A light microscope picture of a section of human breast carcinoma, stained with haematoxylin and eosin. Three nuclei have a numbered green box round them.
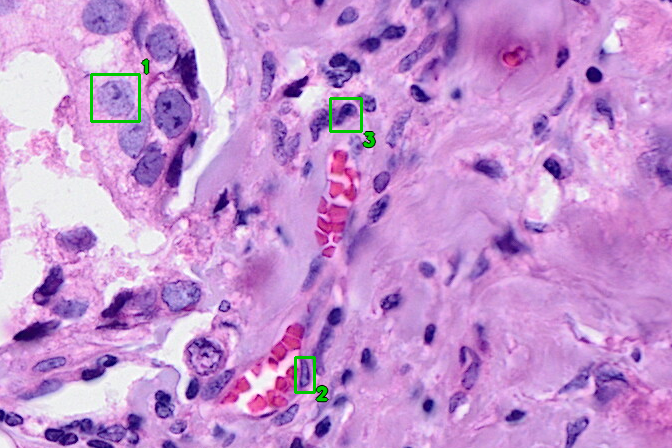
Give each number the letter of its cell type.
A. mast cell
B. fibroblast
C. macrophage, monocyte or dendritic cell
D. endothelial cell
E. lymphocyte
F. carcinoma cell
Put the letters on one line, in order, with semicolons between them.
F; D; E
